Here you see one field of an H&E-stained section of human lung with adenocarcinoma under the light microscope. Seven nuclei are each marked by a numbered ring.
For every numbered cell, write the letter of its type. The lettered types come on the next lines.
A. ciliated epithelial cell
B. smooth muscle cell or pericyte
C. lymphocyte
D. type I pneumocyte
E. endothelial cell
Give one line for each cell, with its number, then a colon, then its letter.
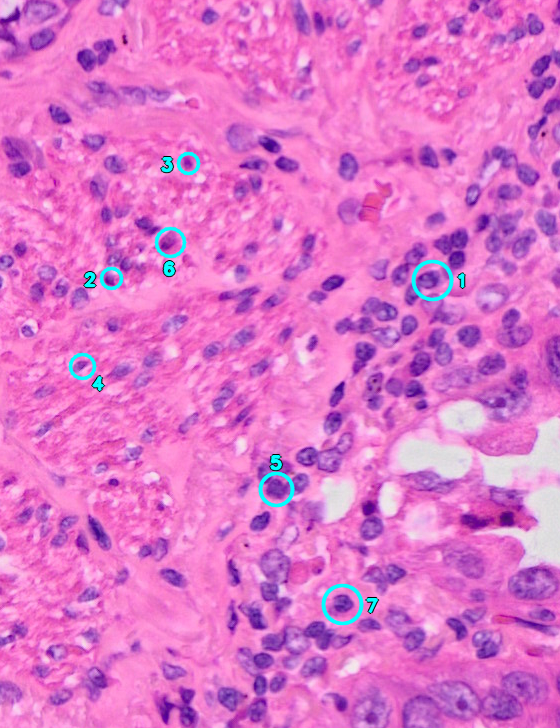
1: C
2: B
3: B
4: B
5: C
6: B
7: C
